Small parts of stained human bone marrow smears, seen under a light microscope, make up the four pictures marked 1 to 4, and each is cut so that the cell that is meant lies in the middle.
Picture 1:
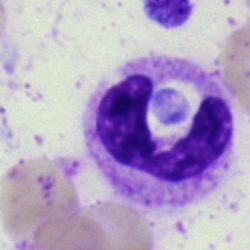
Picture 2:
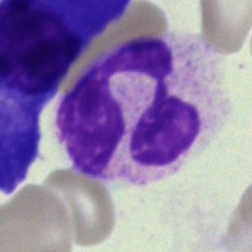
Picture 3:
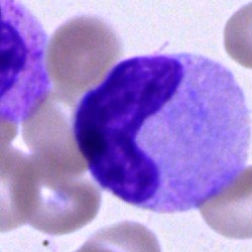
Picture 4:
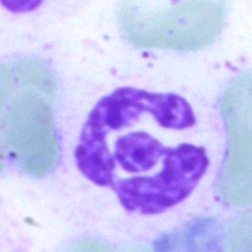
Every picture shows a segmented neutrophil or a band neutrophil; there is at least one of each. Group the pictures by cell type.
1: band neutrophil
2: segmented neutrophil
3: band neutrophil
4: segmented neutrophil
